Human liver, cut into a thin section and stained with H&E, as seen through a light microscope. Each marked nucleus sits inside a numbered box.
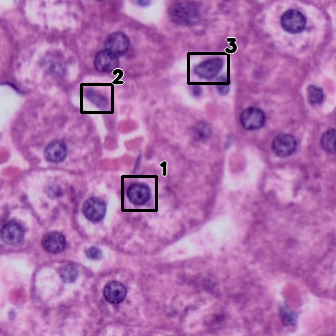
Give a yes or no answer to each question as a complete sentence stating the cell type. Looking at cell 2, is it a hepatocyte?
No, cell 2 counts as a Kupffer cell rather than as a hepatocyte.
